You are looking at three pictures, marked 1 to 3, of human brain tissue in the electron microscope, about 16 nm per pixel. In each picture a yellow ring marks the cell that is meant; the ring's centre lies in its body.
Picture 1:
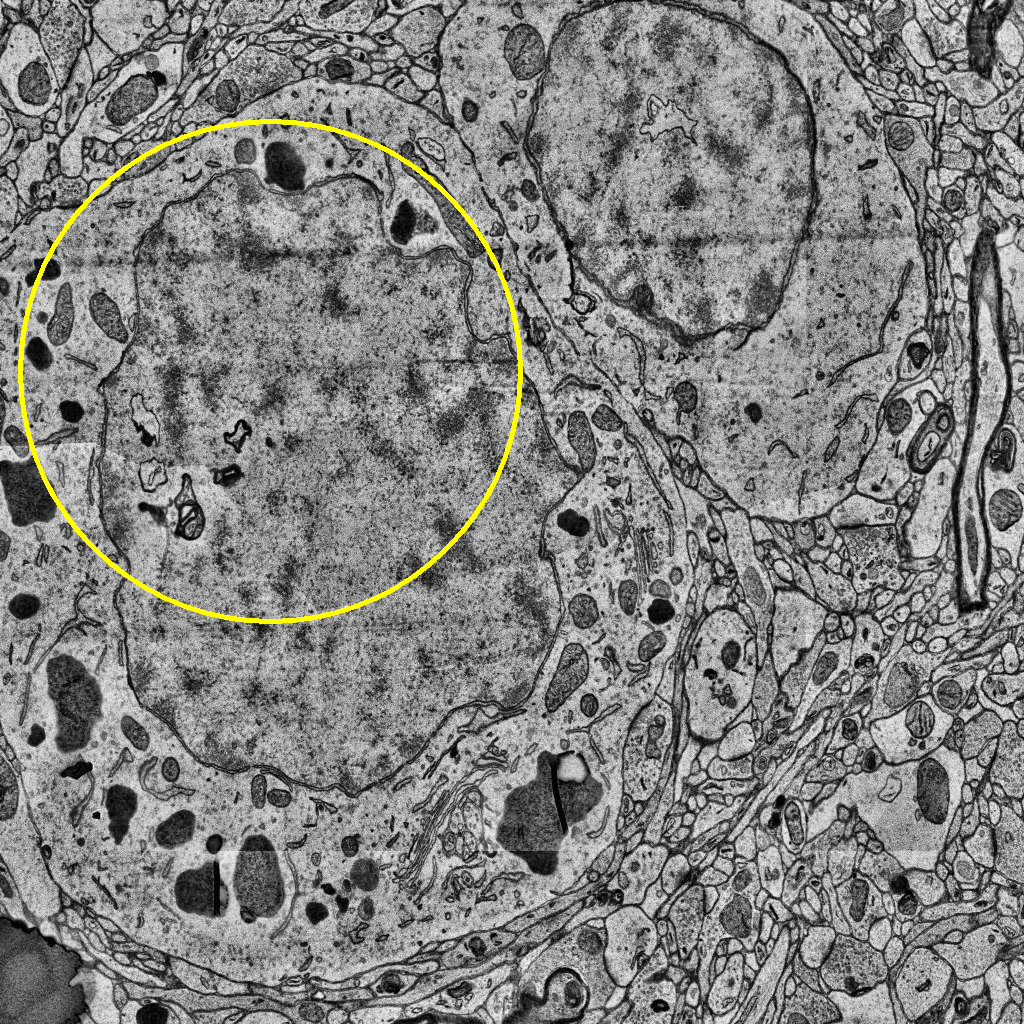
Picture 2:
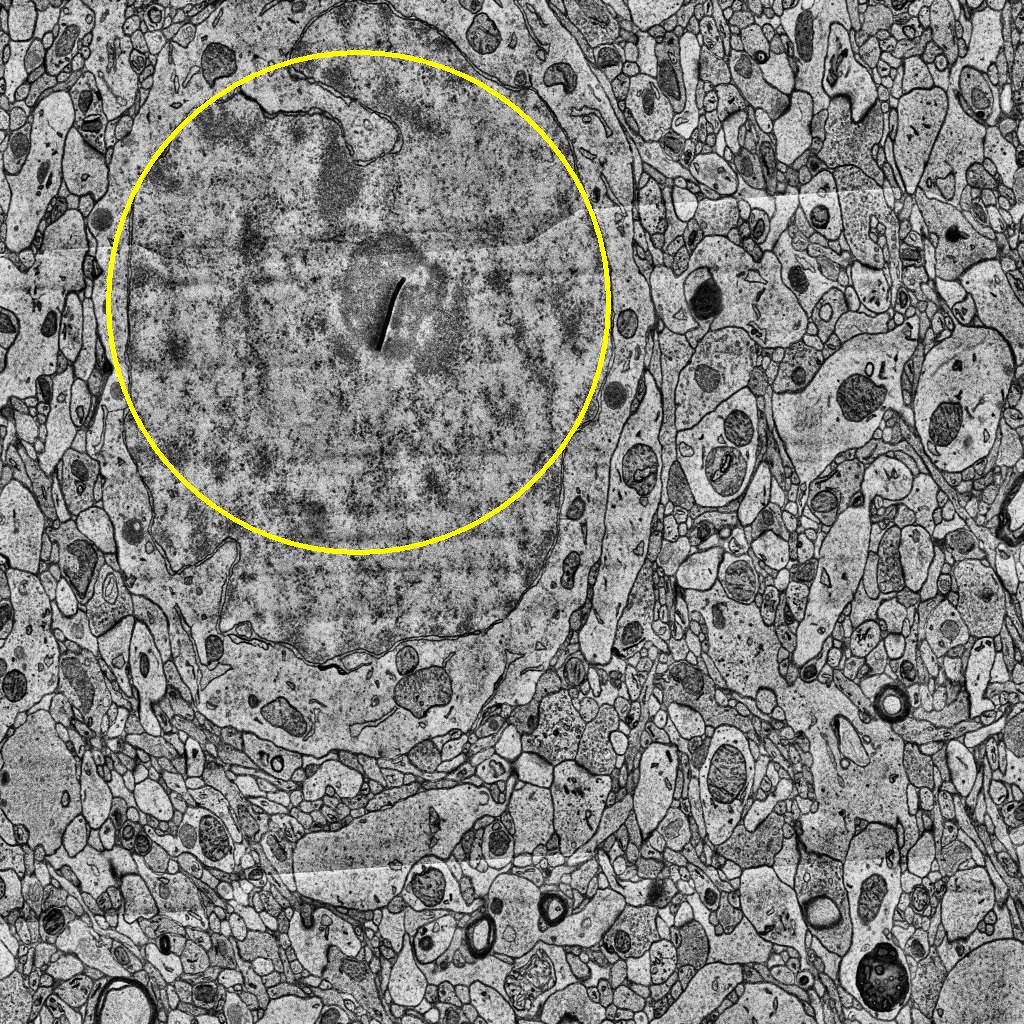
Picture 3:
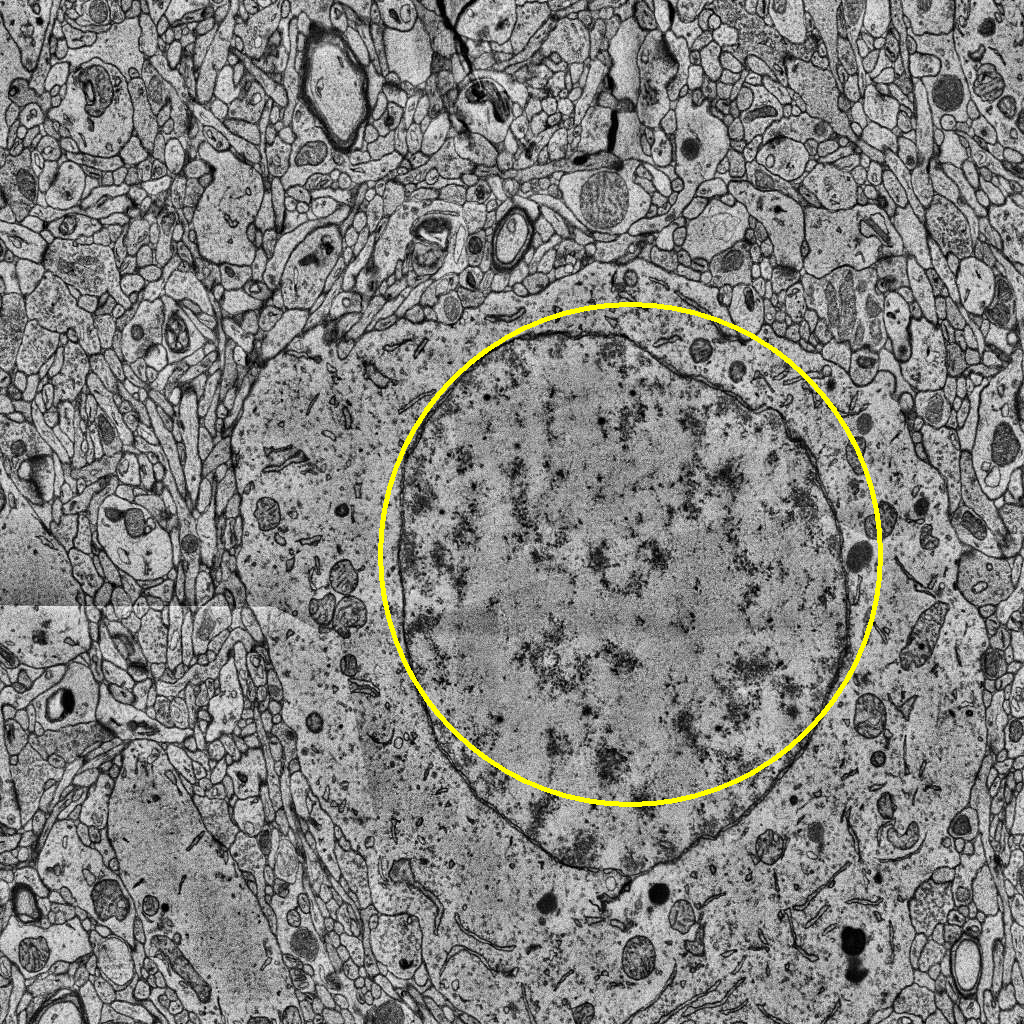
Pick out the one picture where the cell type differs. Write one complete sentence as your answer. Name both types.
Unlike the rest, which show interneurons, picture 3 shows a pyramidal neuron.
